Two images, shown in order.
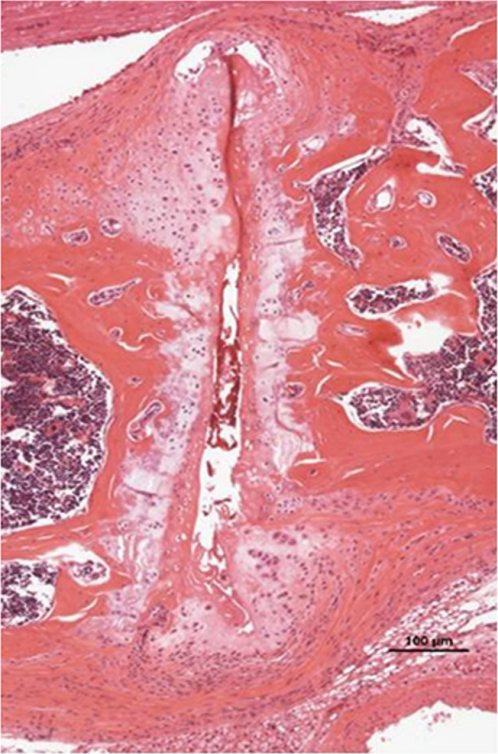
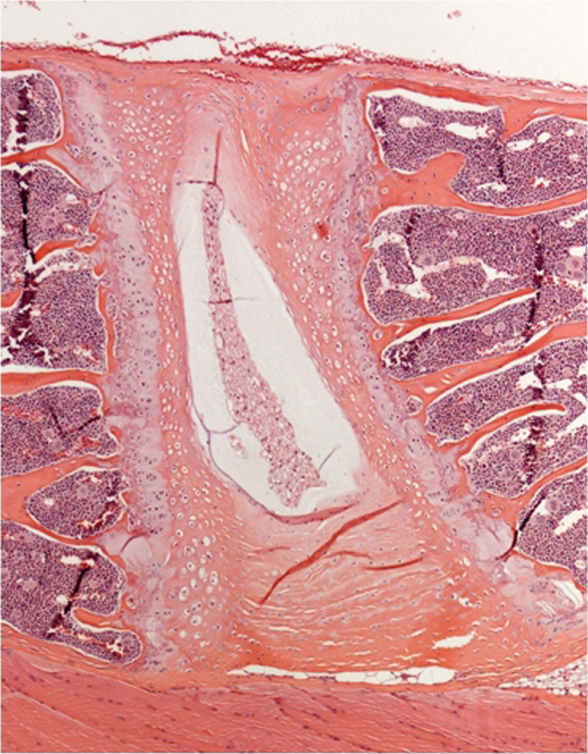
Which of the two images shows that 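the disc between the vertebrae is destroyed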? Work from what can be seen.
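The first image. Second image: an intact disc with an organised central pale space and surrounding layered cartilage lies between the vertebral bodies. First image: no organised disc remains; a narrow irregular cleft with blood is flanked by disordered pale cartilage-like tissue merging with bone.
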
